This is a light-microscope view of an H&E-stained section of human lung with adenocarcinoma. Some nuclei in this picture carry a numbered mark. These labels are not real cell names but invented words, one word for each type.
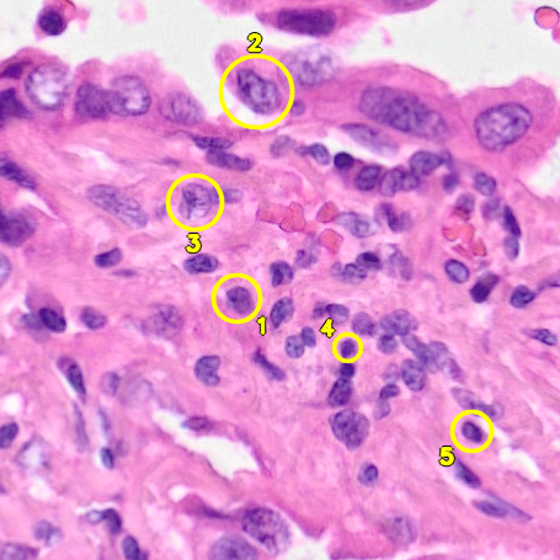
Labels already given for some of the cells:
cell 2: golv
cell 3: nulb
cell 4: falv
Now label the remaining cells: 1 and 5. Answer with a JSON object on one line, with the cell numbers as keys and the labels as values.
{"1": "falv", "5": "falv"}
